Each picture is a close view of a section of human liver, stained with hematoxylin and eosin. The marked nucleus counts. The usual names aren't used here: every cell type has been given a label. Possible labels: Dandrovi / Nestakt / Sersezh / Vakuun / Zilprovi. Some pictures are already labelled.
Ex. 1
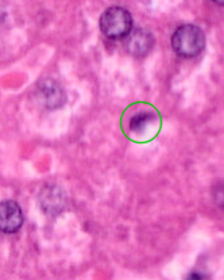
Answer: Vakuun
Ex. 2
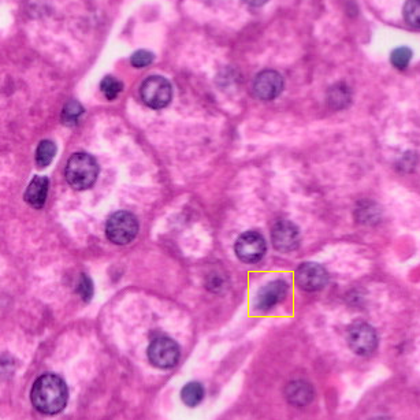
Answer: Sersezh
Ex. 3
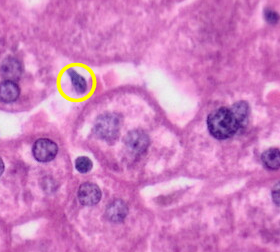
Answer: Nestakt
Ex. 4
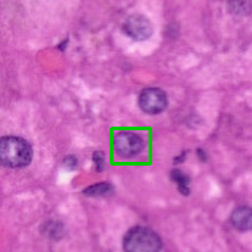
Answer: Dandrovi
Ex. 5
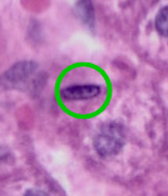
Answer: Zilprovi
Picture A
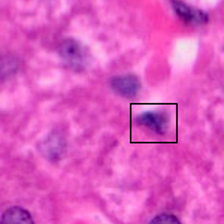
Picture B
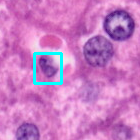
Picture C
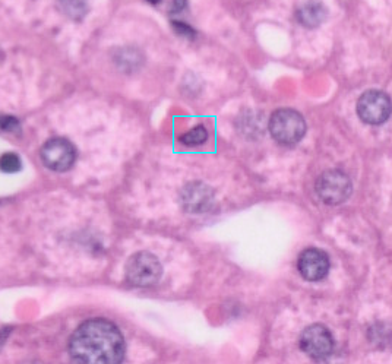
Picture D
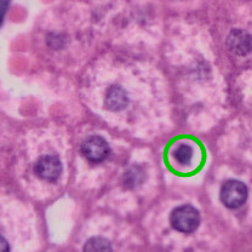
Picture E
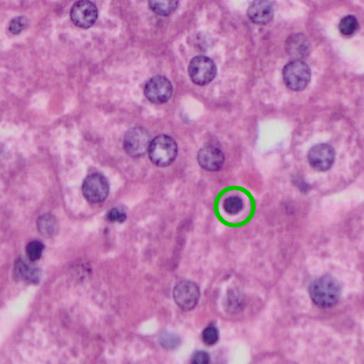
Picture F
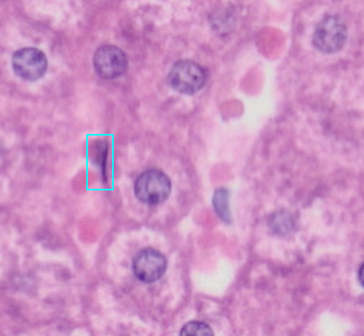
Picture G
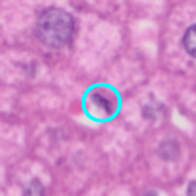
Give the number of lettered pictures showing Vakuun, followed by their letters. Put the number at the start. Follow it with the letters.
3: A, F, G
